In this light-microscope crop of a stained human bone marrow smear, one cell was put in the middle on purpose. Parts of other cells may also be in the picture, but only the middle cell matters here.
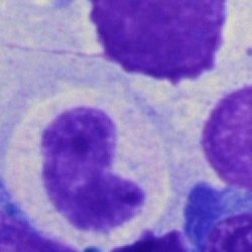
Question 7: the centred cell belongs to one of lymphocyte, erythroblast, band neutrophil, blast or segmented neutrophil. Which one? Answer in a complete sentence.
Present in the middle of the crop is a band neutrophil.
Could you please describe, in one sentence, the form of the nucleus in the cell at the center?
The nucleus amounts to one compact mass with a round, oval or kidney-shaped outline.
